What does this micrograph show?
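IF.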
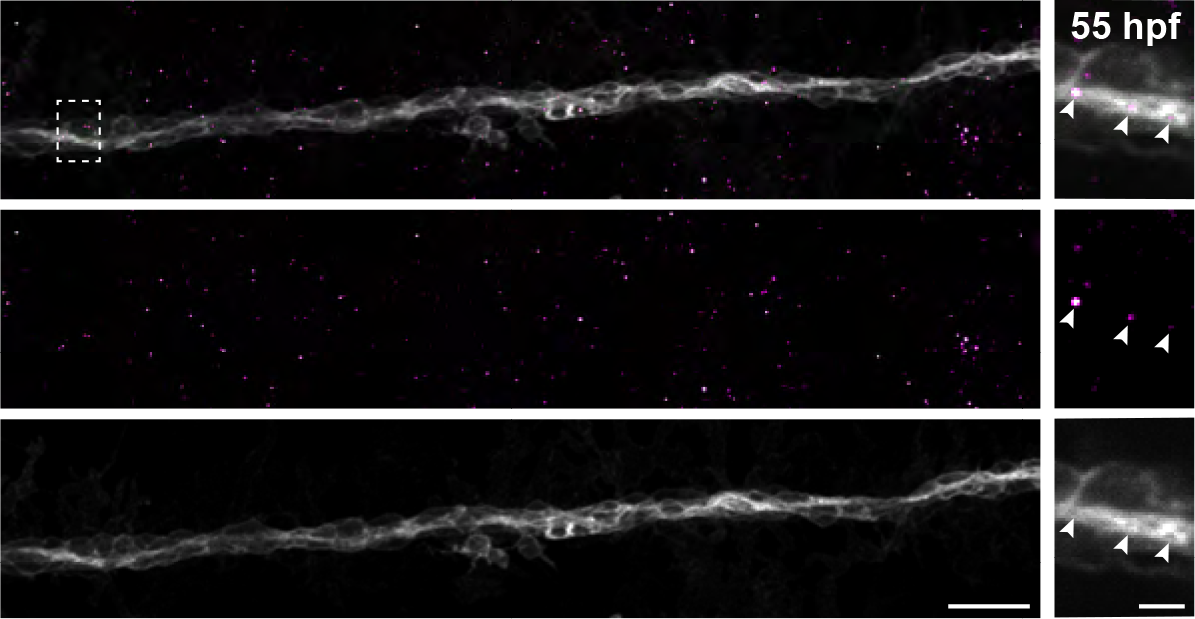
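This is a lateral line nerve whose Schwann cell membranes show in grey as a thin, slightly wavy band running across the field, made of a meshwork of outlines of closely packed cells along its length, with a few small processes branching off. Tiny magenta dots are scattered over the field, some lying on the grey band.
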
